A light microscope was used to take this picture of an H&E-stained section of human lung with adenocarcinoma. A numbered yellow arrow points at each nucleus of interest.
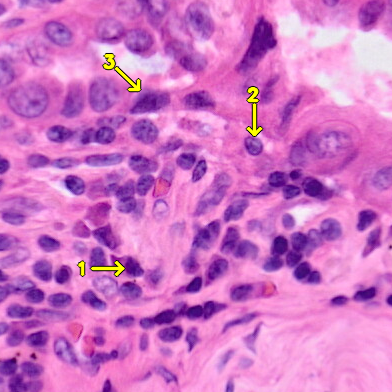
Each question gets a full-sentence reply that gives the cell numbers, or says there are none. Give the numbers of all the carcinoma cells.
The sole numbered cell that is a carcinoma cell is cell 3.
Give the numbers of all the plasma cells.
Only nucleus 1 belongs to a plasma cell; the other numbered nuclei do not.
